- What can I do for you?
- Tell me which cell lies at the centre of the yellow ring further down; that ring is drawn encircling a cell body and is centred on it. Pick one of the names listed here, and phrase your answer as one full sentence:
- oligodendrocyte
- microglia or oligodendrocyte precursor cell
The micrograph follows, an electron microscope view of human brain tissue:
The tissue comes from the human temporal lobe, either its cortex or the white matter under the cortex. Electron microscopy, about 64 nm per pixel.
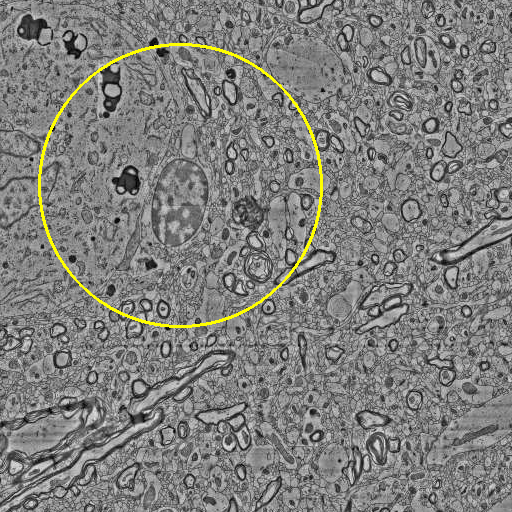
The cell whose body lies at the centre of the yellow ring is a microglial cell or oligodendrocyte precursor cell.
